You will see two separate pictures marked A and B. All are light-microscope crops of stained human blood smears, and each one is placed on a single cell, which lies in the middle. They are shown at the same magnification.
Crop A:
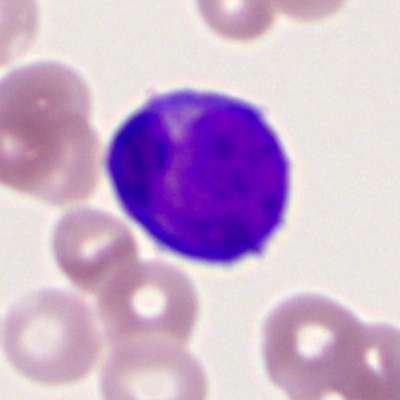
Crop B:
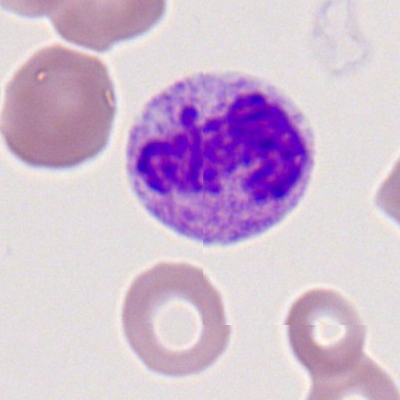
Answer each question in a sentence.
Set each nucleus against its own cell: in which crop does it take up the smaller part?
The nucleus fills less of the cell in crop B than in crop A.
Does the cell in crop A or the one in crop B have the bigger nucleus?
Crop A shows the larger nucleus; it covers about 2 times the area of the nucleus in crop B.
